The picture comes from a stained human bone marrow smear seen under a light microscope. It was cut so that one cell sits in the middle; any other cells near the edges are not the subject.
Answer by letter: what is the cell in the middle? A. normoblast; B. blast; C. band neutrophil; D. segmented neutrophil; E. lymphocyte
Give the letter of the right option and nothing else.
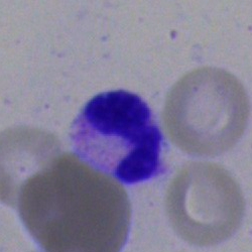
D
